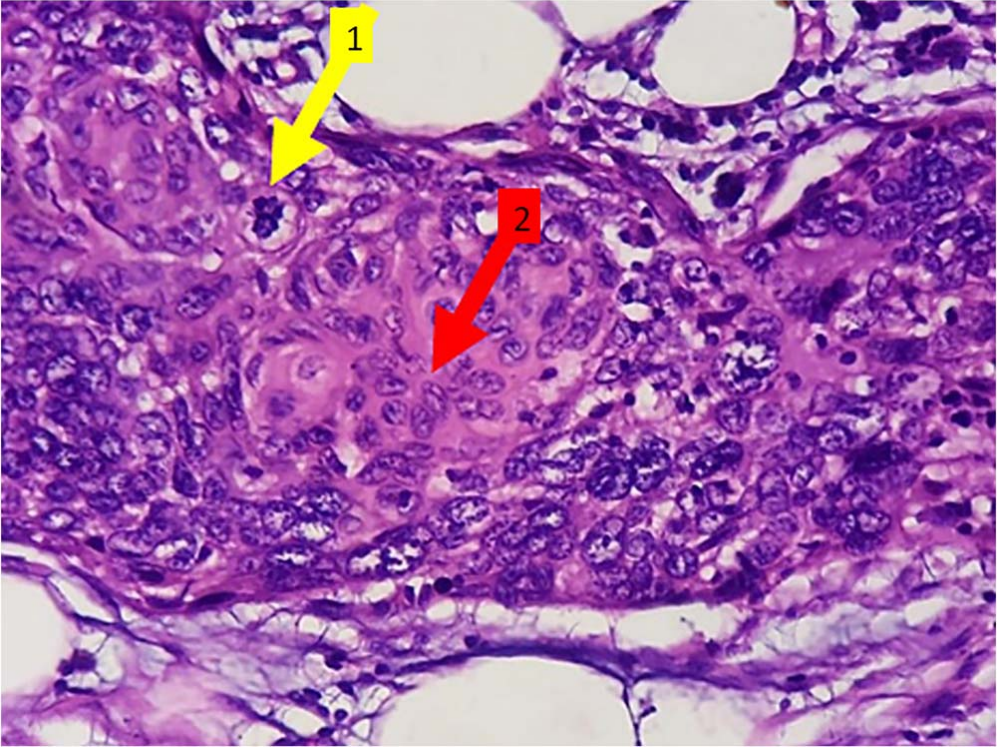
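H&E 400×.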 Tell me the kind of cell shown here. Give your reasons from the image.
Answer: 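Malignant squamous cells. The cells form solid nests with pink cytoplasm. The nuclei are large, crowded and vary in size and shape. Some nuclei are vesicular and others are dark.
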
